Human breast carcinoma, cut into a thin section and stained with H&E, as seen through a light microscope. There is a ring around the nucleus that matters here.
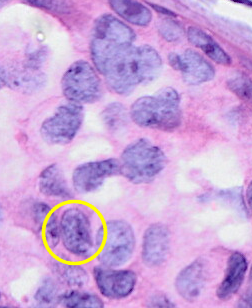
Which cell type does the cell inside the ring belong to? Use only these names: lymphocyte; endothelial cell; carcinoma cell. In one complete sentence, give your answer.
In the tissue under study, the cell inside the ring is a carcinoma cell.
